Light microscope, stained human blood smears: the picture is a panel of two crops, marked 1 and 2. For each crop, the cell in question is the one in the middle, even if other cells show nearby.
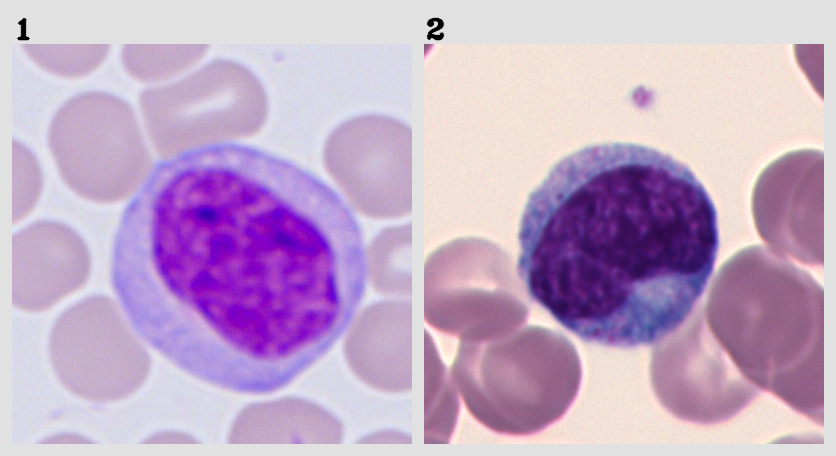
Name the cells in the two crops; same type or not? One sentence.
Yes, monocytes are present at the centre of both crops.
